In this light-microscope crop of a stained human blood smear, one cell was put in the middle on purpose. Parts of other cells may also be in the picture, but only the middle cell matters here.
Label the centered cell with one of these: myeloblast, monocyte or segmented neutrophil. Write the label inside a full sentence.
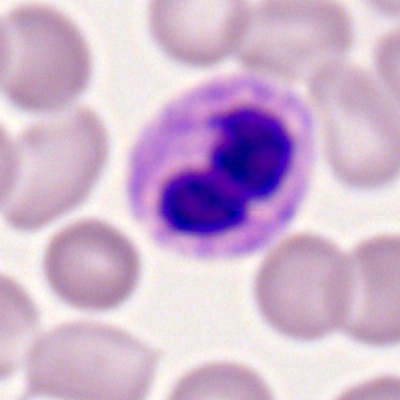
This crop's central cell is a segmented neutrophil.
